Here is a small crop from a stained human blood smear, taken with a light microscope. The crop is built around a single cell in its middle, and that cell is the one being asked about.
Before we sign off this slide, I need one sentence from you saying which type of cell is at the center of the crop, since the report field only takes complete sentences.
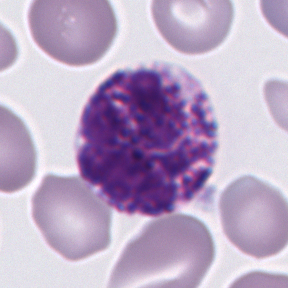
The crop's centre is taken up by a basophil.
